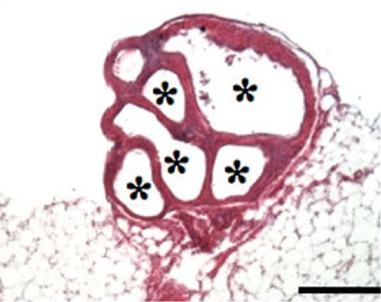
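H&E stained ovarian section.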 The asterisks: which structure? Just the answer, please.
Large follicular cysts.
